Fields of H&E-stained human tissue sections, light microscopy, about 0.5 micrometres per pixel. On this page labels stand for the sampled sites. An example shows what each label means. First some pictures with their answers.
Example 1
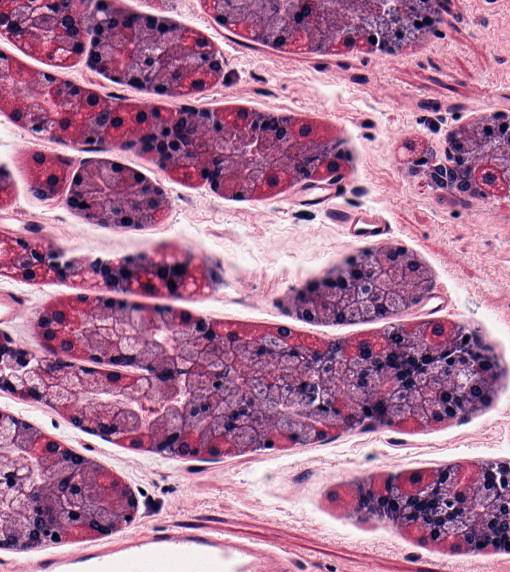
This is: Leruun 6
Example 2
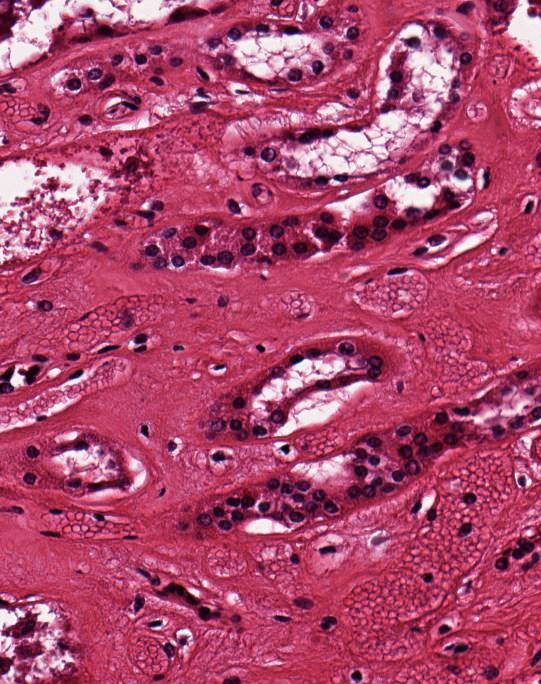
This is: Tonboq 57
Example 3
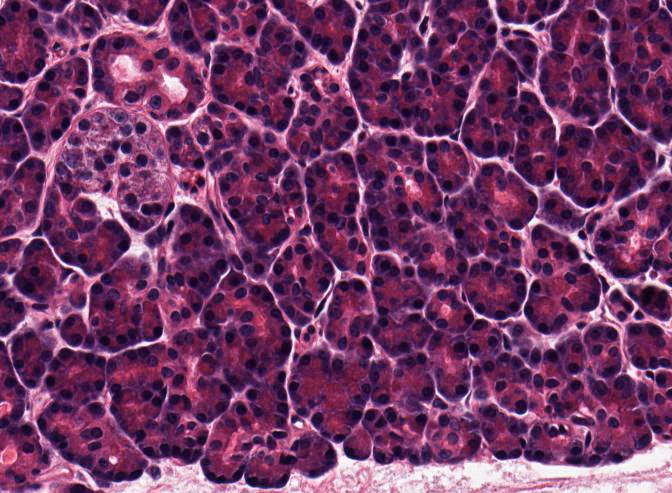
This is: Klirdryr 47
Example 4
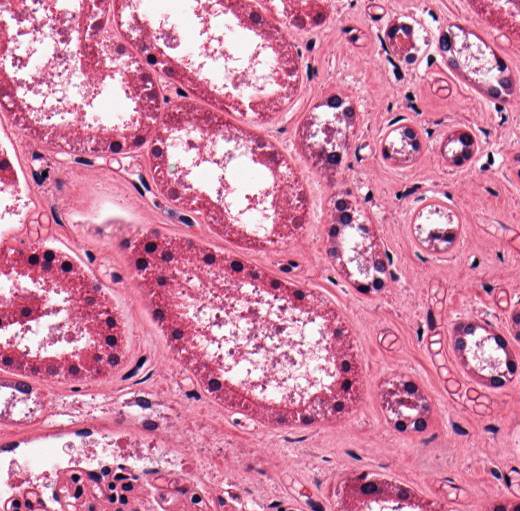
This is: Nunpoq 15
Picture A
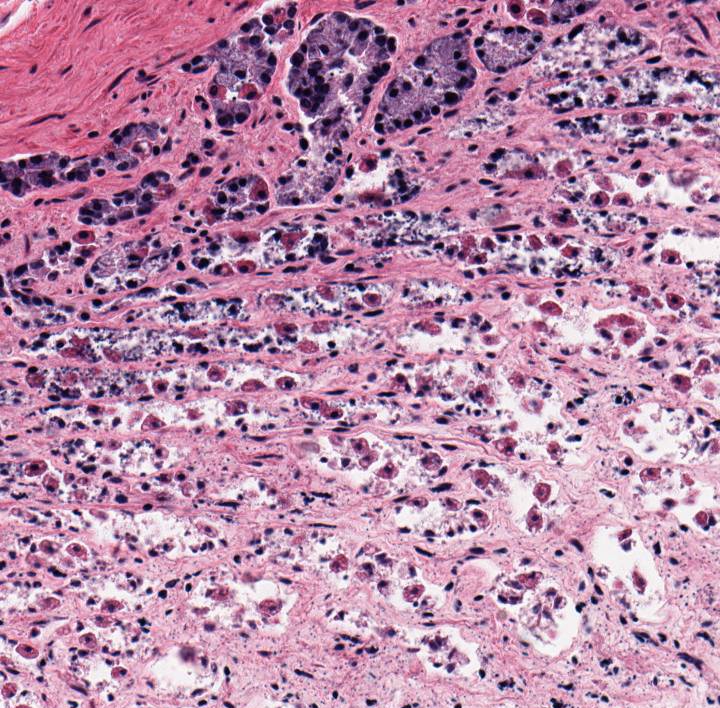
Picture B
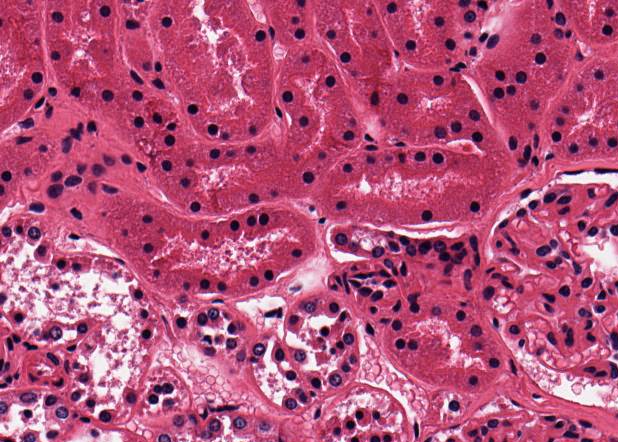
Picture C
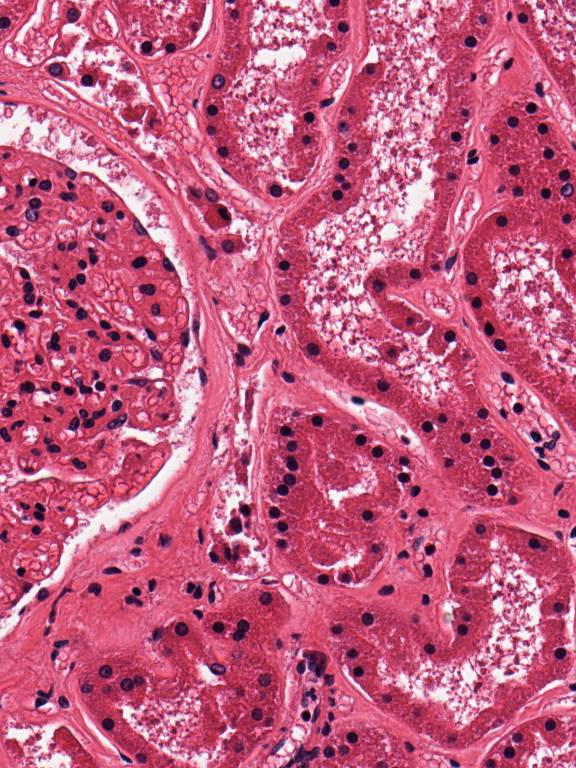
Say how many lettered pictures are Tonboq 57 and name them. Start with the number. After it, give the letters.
1, namely B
